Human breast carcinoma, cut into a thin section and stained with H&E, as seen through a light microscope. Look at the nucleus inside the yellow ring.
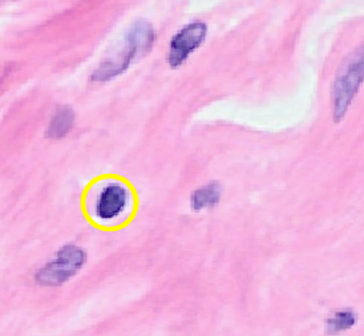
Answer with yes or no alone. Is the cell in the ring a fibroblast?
no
